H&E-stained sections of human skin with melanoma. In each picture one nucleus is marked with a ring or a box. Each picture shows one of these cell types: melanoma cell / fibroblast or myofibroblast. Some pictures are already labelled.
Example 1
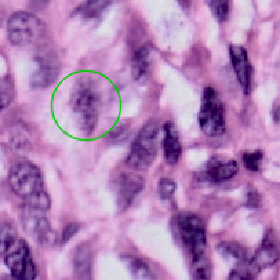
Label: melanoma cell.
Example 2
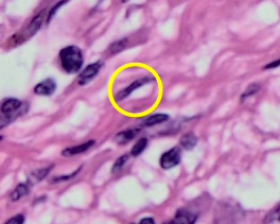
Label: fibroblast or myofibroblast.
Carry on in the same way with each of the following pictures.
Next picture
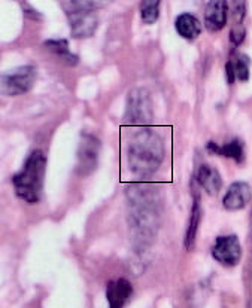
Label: melanoma cell.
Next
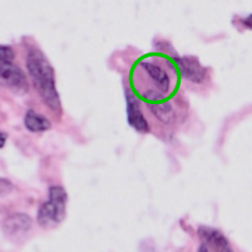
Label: melanoma cell.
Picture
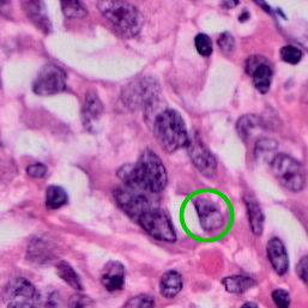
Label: melanoma cell.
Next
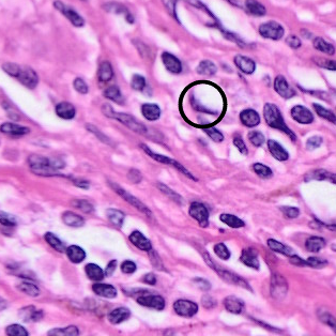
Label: fibroblast or myofibroblast.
